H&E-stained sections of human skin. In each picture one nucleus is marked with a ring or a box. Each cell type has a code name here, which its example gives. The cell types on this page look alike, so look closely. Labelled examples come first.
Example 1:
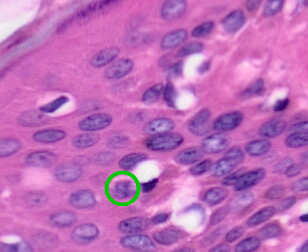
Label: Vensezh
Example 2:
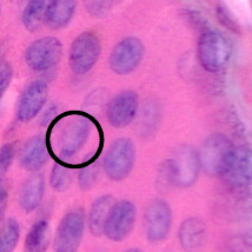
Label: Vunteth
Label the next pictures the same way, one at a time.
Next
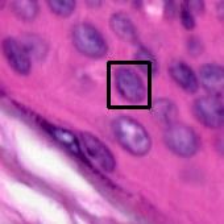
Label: Vunteth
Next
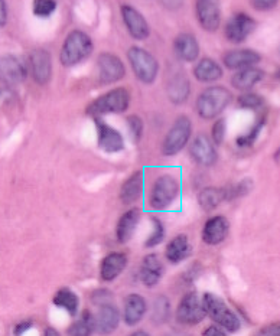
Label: Vensezh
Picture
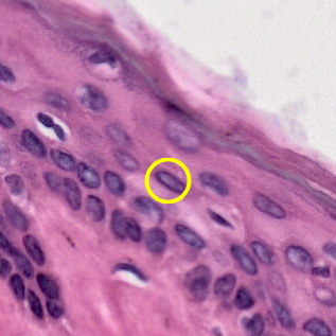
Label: Vunteth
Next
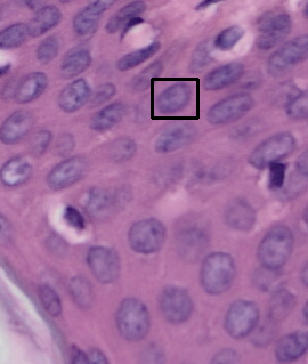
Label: Vunteth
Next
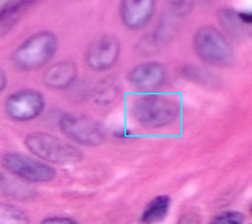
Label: Vensezh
